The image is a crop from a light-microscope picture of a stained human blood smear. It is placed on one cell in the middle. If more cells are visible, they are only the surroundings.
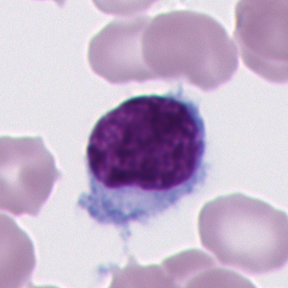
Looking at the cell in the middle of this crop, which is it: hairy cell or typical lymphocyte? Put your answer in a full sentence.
The centrally placed cell is classified as a hairy cell.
